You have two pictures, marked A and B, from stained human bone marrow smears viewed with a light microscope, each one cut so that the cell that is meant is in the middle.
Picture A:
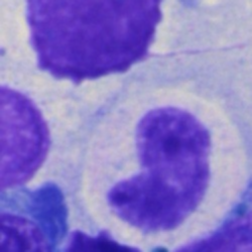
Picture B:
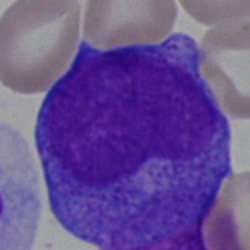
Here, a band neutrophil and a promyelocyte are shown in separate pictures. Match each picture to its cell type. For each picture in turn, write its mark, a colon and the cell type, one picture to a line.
A: band neutrophil
B: promyelocyte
